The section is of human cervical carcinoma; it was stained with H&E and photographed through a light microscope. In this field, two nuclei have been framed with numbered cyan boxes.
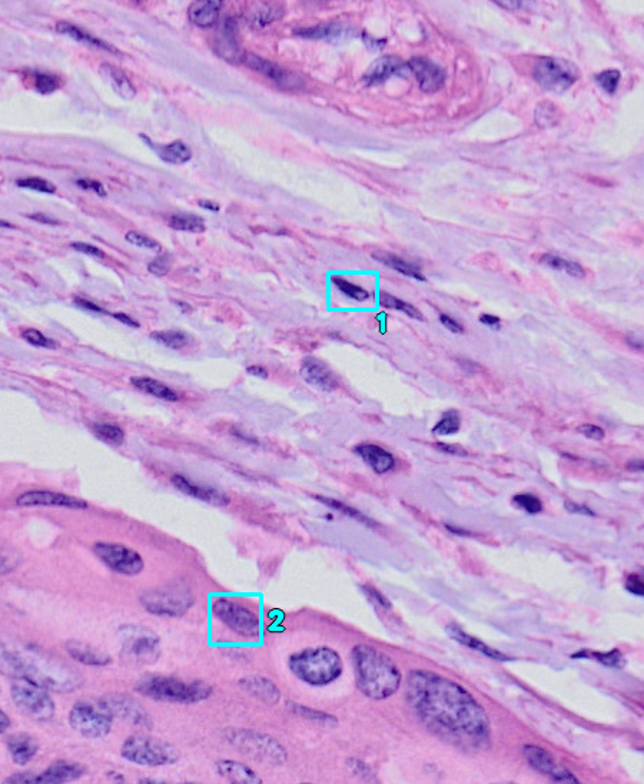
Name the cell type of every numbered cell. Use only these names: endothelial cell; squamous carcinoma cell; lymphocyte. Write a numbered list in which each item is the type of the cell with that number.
1. lymphocyte
2. squamous carcinoma cell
